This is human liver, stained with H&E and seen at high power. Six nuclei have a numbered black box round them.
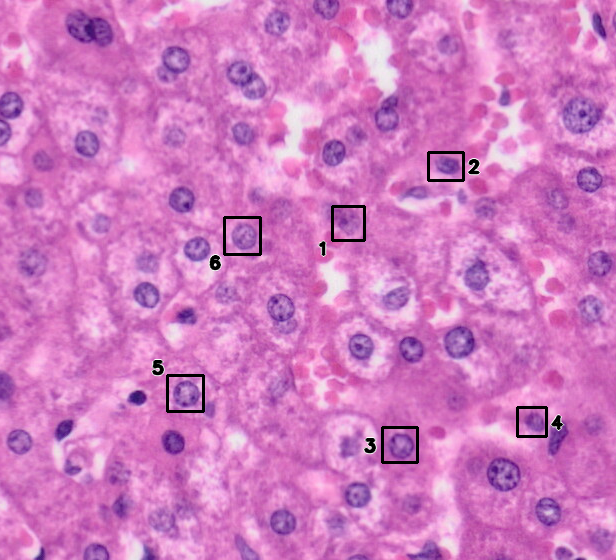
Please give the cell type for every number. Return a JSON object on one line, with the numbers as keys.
{"1": "hepatocyte", "2": "fibroblast or stellate cell", "3": "hepatocyte", "4": "Kupffer cell", "5": "hepatocyte", "6": "hepatocyte"}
